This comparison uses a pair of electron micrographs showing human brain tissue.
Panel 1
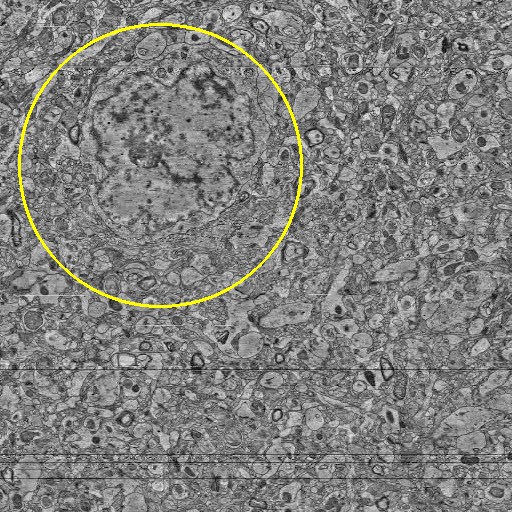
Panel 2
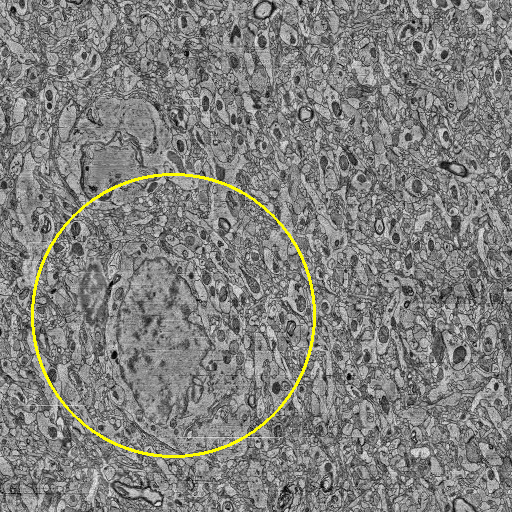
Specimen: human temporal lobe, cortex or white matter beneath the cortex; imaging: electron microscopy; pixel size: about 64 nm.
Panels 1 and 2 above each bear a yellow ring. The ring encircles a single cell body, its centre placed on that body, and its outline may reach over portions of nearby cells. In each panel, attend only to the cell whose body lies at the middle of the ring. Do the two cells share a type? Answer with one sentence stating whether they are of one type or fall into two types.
In Panel 1 and Panel 2, the cells at the centres of the rings are of one type.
